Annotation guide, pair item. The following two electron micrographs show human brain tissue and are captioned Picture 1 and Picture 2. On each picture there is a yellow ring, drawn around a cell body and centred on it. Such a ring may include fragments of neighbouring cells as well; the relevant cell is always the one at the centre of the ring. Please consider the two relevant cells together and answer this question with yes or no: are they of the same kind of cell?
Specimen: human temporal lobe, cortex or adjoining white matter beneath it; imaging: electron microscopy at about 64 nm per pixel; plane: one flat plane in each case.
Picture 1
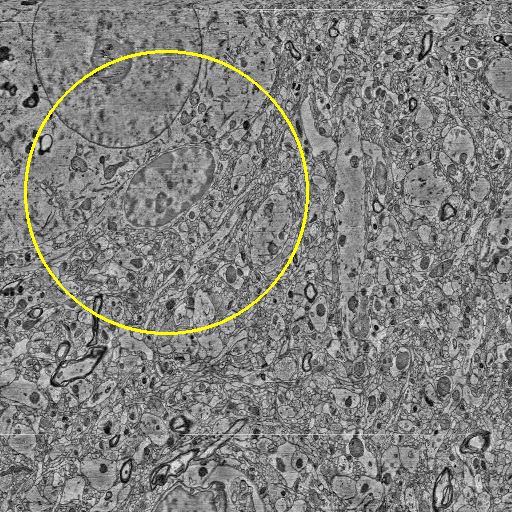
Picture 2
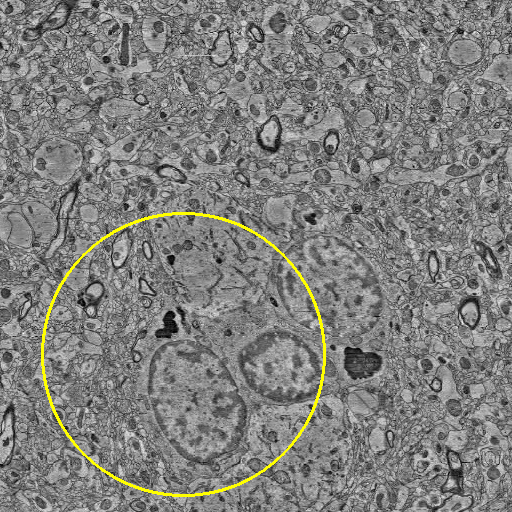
no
